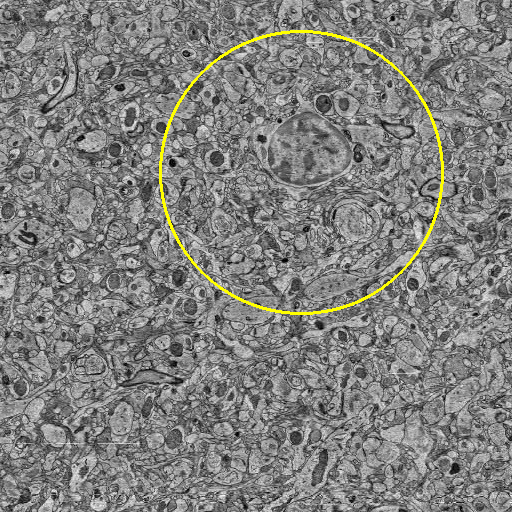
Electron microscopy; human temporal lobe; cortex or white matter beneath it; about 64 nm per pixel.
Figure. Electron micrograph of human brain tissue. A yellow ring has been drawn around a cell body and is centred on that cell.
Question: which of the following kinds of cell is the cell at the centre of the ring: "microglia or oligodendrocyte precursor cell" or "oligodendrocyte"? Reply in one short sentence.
The cell at the centre of the ring is a microglial cell or oligodendrocyte precursor cell.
